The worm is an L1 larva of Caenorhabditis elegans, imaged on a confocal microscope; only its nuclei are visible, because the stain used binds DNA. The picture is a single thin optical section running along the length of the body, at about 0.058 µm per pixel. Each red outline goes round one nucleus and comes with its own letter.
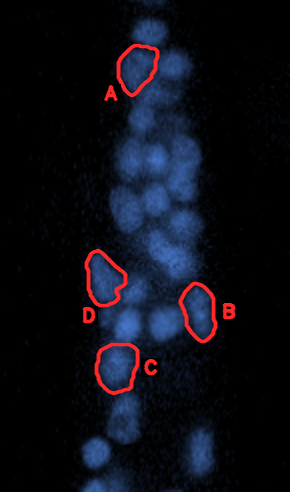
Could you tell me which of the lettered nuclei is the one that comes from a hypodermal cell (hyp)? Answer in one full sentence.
It is A that belongs to a hypodermal cell (hyp).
